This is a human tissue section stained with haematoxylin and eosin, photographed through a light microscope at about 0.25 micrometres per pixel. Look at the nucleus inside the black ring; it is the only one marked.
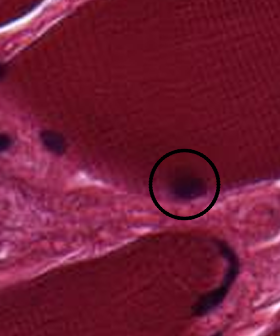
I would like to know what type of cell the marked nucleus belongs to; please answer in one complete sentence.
Within the picture, the marked nucleus belongs to a skeletal muscle fibre.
